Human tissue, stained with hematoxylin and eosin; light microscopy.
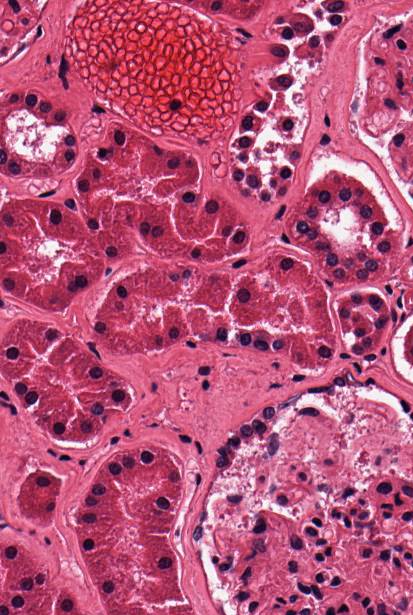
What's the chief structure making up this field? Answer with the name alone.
cortical labyrinth of the kidney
